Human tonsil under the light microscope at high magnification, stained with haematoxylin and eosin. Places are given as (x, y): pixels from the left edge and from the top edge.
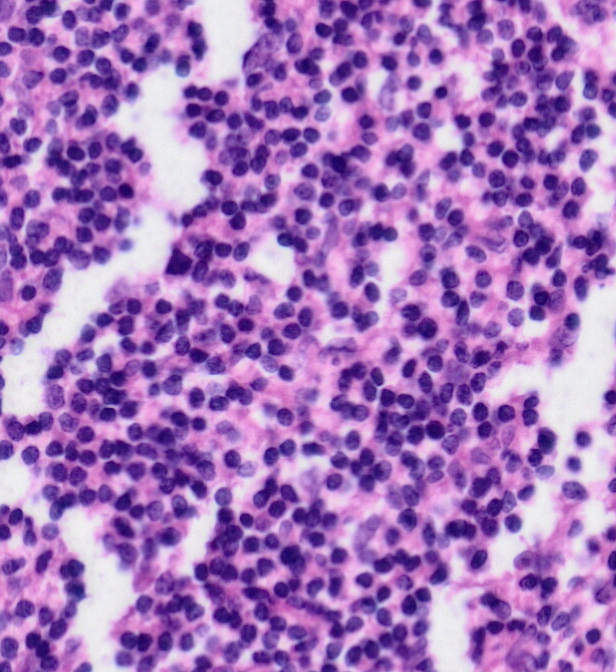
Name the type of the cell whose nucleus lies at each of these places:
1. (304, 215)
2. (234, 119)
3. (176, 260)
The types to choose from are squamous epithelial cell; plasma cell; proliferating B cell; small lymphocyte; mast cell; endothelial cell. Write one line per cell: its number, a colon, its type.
1: small lymphocyte
2: small lymphocyte
3: proliferating B cell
